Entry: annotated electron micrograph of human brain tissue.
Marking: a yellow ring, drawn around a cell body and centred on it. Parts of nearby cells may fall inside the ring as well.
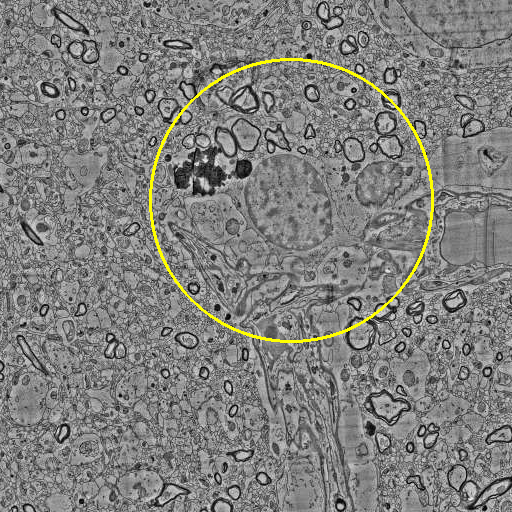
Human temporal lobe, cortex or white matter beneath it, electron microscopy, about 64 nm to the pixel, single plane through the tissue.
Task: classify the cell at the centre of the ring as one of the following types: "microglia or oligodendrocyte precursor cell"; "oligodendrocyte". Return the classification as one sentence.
The marked cell is classified as an oligodendrocyte.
